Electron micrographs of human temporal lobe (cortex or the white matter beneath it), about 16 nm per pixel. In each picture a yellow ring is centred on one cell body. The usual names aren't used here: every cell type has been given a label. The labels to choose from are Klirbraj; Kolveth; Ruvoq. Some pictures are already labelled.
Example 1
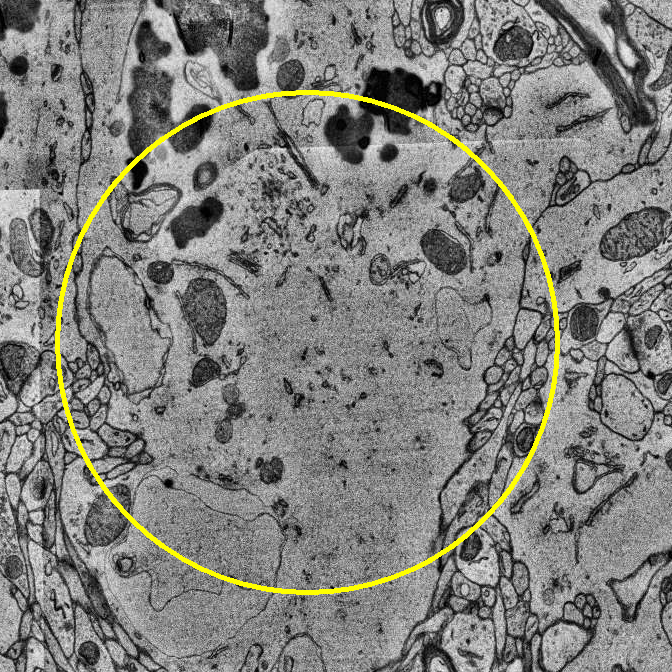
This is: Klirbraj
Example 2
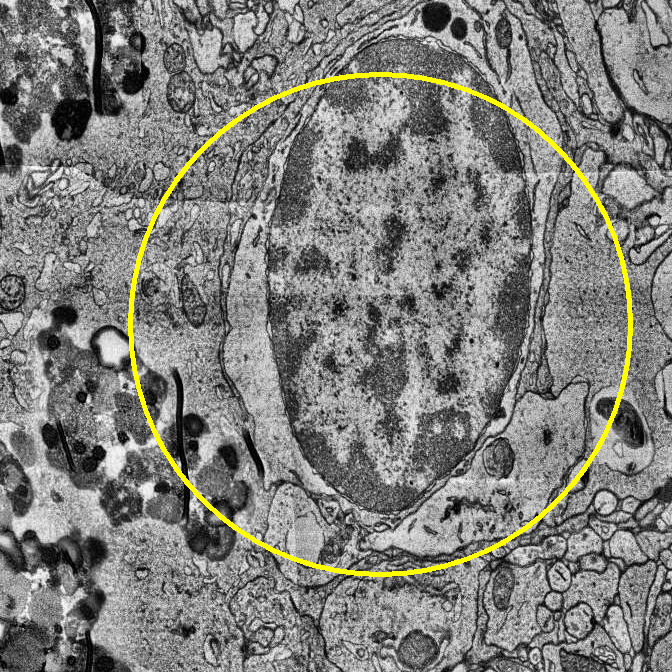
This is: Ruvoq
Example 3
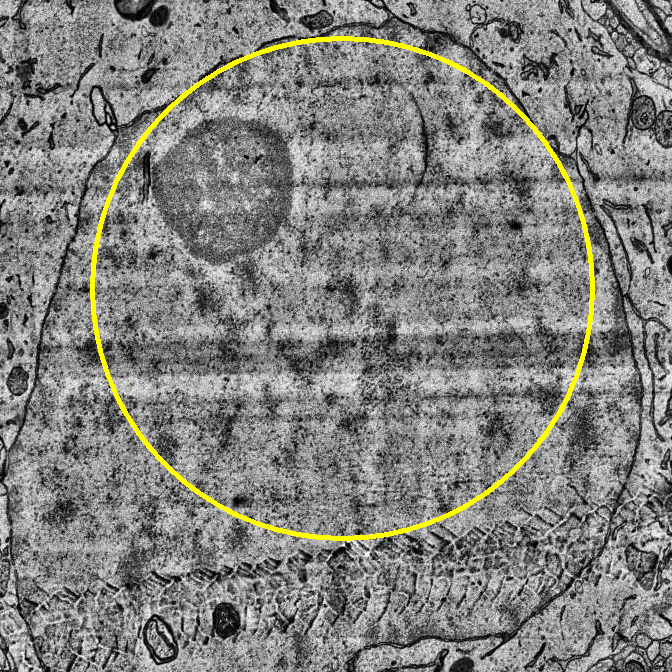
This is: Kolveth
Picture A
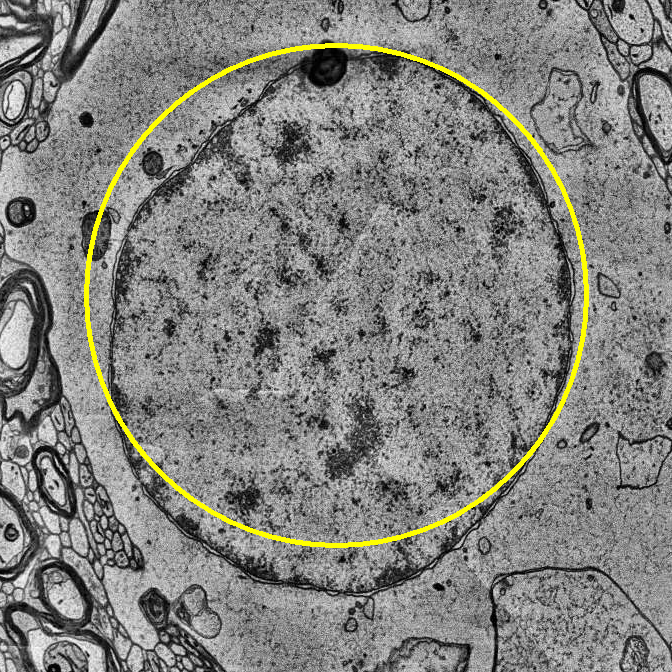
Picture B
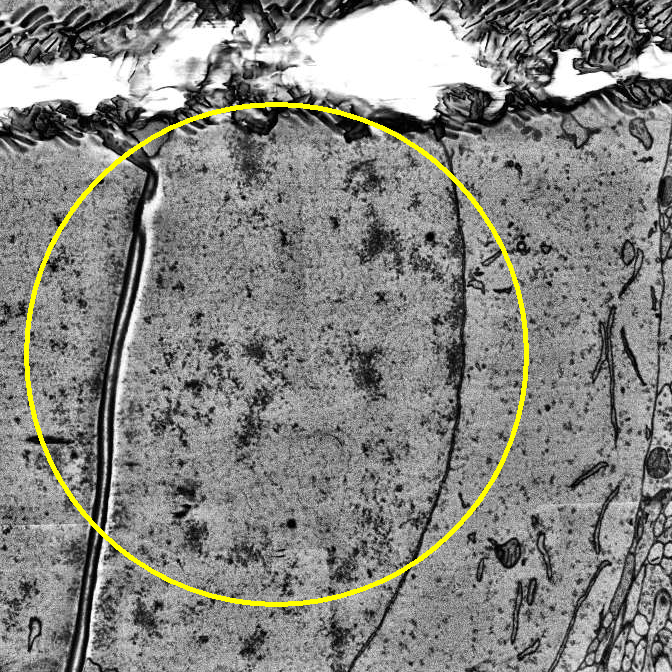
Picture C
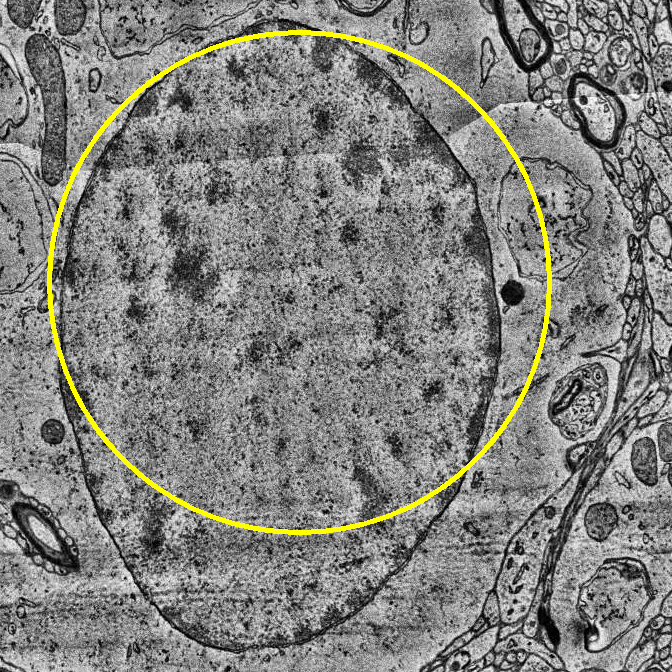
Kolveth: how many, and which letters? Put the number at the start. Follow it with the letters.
1: B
